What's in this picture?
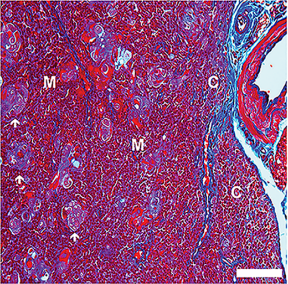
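This is thymus in which the inner region is broken up by many rounded nests of cells set among densely packed small cells. Blue fibres run mainly along the edge of the organ and around a vessel, with little blue among the nests. The outer band is more uniform and densely cellular.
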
